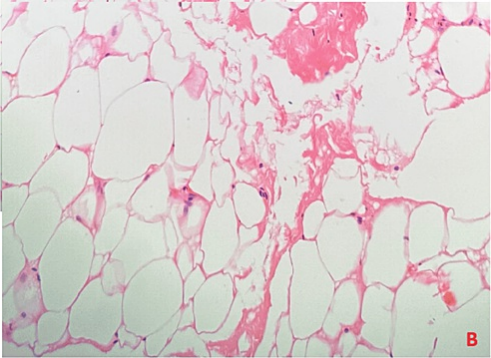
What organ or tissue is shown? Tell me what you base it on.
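Mature adipose tissue. Large empty polygonal cells with thin pink membranes. Few small nuclei at the cell edges.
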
